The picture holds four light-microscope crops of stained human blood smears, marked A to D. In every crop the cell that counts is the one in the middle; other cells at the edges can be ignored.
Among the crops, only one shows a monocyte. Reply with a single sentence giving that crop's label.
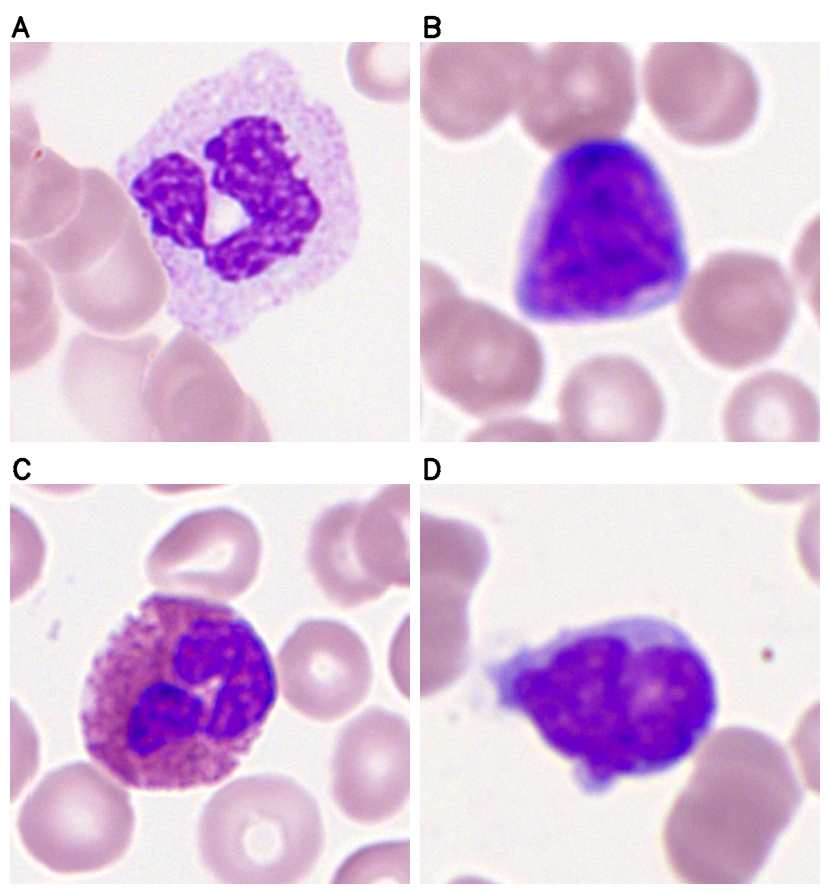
In this series, a monocyte is shown by crop D.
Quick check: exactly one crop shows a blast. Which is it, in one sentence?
Of the cells presented, the one in crop B is a blast.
